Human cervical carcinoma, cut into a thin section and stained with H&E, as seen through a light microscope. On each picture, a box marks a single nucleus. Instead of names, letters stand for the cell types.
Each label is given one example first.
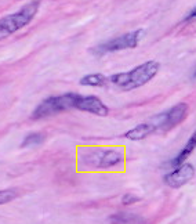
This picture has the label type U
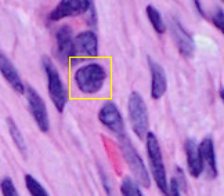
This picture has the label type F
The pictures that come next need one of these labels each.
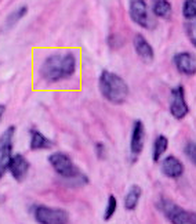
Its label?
type U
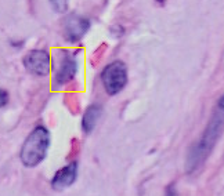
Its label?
type F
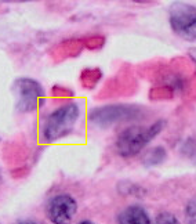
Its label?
type F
